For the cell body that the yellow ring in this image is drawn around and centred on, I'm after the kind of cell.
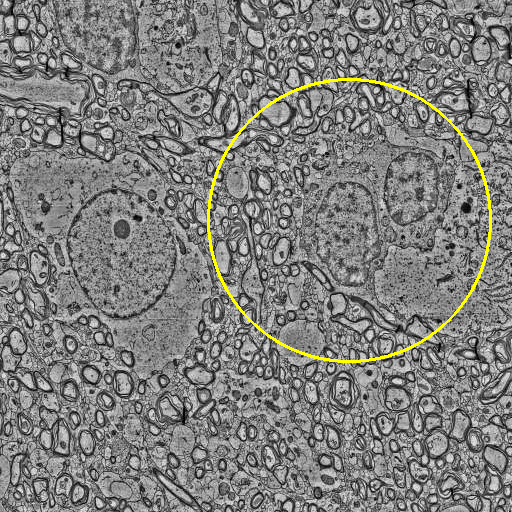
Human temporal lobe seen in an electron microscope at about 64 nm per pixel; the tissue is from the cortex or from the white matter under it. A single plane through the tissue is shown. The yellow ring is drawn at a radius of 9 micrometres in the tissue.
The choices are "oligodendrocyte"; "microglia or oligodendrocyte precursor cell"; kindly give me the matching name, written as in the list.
oligodendrocyte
